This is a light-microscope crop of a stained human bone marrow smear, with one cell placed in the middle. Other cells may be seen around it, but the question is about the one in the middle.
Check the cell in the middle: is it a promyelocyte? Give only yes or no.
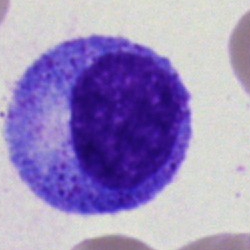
yes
